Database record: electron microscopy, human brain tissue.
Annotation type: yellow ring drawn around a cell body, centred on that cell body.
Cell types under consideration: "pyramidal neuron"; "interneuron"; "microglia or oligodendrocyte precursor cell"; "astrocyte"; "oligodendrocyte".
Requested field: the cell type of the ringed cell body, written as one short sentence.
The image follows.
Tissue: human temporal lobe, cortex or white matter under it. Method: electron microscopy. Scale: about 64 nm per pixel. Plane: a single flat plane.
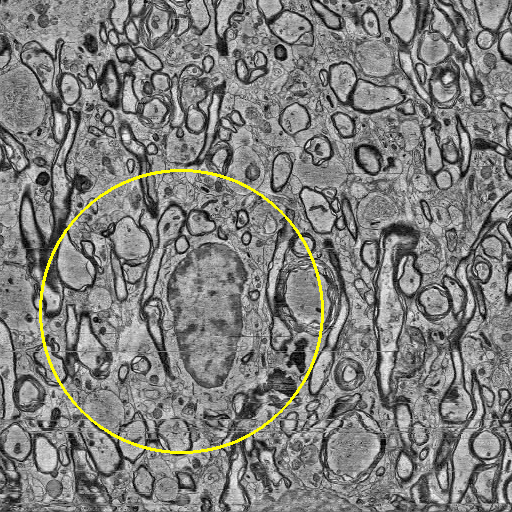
The ringed cell body represents a microglial cell or oligodendrocyte precursor cell.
